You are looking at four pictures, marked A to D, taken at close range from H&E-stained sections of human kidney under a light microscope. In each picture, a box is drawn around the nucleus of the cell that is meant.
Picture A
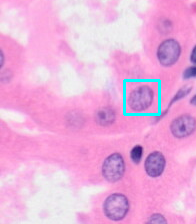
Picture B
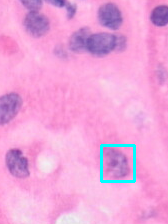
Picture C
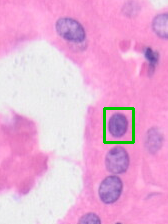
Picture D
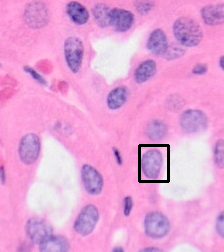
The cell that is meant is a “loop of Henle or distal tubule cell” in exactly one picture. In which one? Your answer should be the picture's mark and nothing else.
D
